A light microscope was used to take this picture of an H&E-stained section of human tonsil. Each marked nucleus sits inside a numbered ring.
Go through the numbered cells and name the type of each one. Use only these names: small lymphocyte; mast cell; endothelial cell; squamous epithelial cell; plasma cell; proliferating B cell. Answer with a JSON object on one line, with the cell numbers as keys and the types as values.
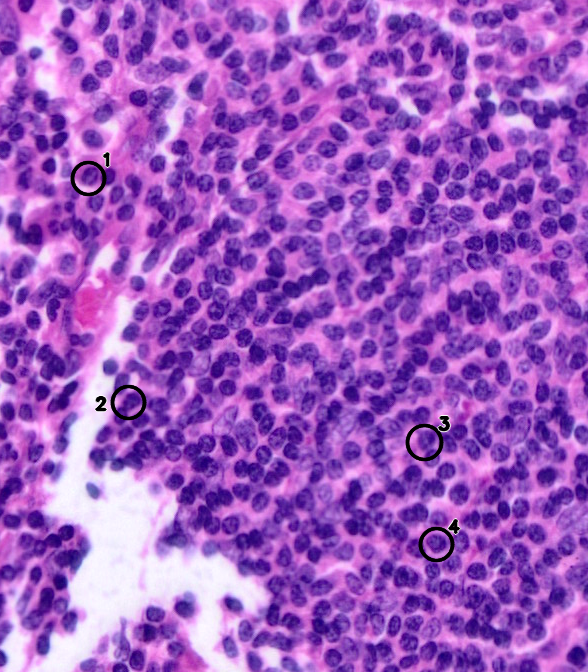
{"1": "plasma cell", "2": "small lymphocyte", "3": "small lymphocyte", "4": "small lymphocyte"}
